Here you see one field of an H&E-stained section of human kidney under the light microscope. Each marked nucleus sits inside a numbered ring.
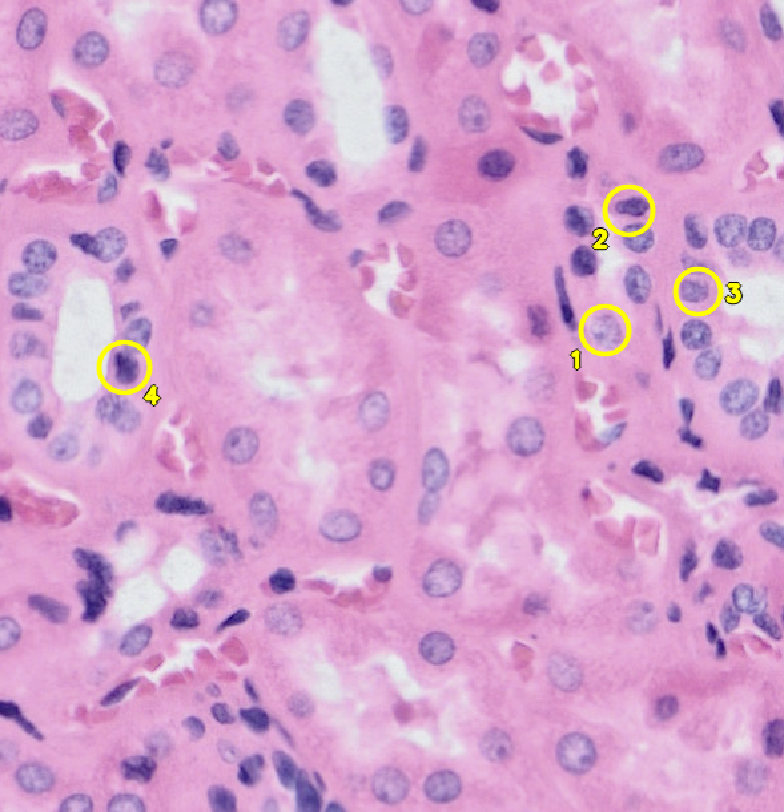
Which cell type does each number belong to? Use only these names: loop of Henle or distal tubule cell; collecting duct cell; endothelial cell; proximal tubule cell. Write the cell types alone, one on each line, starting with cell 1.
loop of Henle or distal tubule cell
loop of Henle or distal tubule cell
collecting duct cell
collecting duct cell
